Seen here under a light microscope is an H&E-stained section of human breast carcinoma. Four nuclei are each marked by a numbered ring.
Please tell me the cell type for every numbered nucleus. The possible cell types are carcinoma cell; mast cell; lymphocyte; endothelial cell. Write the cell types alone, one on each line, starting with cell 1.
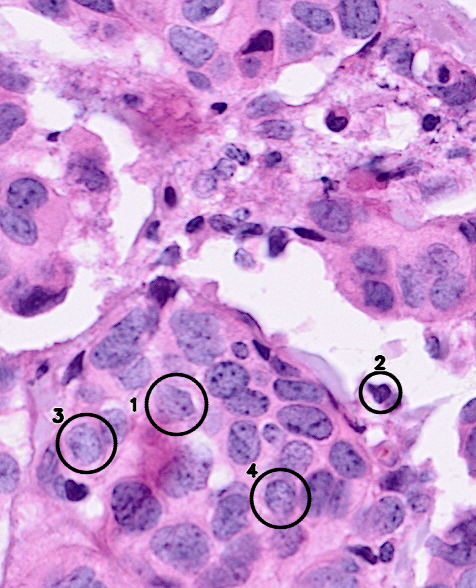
carcinoma cell
lymphocyte
carcinoma cell
carcinoma cell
